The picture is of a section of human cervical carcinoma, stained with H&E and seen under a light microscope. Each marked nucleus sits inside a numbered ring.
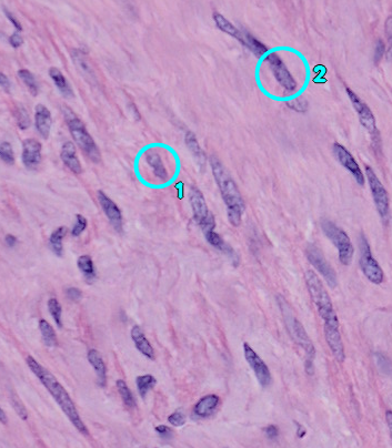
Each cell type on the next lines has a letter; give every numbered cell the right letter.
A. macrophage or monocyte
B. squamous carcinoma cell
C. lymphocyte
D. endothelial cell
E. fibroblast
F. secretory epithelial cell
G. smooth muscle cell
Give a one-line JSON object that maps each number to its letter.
{"1": "G", "2": "E"}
